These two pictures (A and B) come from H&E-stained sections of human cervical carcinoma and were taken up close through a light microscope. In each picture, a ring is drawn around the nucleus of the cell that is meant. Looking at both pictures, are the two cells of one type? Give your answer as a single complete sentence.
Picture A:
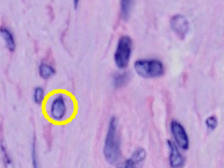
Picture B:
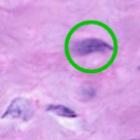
No; the cell in picture A is a smooth muscle cell, while the one in picture B is a fibroblast.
